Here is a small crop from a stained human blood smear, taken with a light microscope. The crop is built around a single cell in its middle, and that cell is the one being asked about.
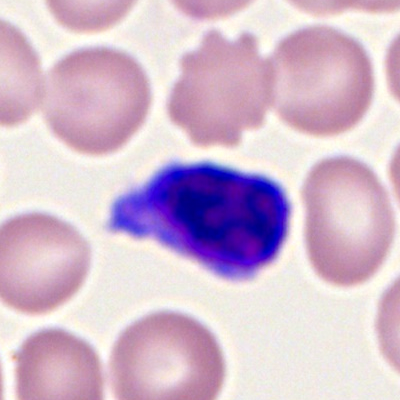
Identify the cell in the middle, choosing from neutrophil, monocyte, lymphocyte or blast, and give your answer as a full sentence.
Classification of the middle cell gives a lymphocyte.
